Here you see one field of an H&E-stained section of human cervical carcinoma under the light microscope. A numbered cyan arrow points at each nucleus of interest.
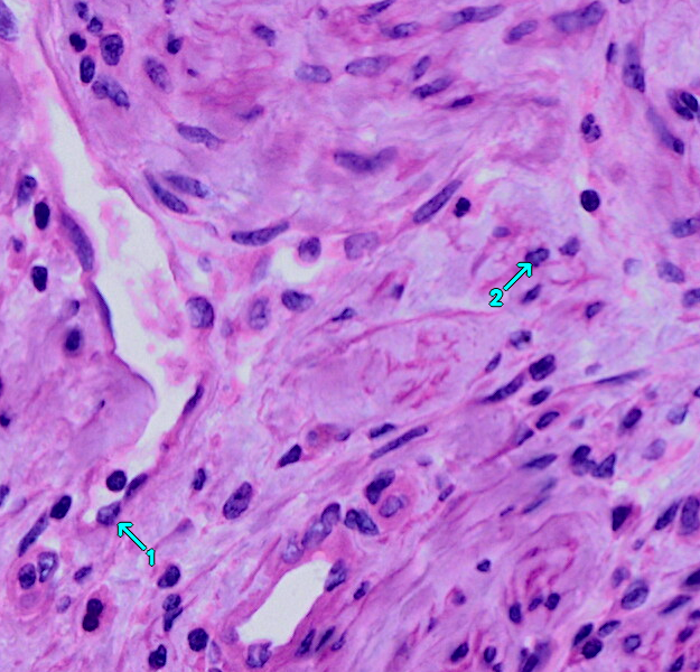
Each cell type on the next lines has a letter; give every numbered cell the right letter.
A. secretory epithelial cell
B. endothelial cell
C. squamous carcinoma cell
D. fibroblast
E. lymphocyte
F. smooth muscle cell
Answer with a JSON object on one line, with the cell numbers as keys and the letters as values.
{"1": "B", "2": "F"}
